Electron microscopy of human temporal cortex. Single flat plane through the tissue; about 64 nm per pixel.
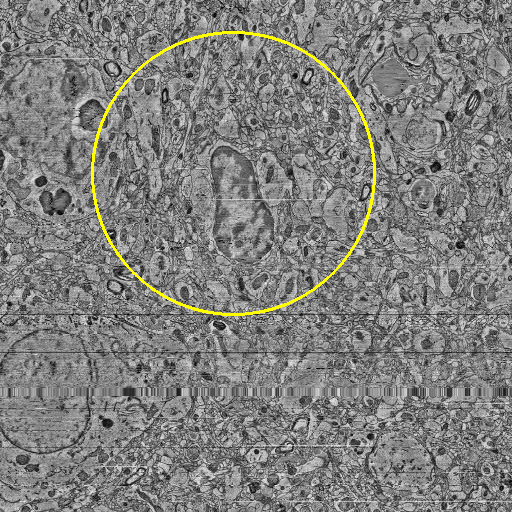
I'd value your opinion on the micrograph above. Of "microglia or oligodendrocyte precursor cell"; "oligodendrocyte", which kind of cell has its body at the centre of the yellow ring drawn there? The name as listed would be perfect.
microglia or oligodendrocyte precursor cell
